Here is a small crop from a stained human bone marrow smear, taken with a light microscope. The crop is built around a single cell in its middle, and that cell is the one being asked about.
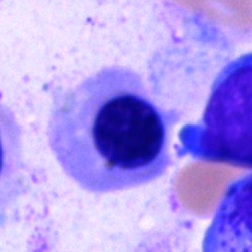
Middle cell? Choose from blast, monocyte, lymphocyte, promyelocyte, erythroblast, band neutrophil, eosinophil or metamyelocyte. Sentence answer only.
Here the cell in the middle is an erythroblast.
